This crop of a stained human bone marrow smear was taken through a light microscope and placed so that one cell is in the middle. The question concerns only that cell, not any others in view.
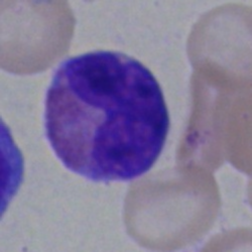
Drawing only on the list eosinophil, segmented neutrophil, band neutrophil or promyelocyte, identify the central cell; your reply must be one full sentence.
What sits at the centre of this crop is an eosinophil.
